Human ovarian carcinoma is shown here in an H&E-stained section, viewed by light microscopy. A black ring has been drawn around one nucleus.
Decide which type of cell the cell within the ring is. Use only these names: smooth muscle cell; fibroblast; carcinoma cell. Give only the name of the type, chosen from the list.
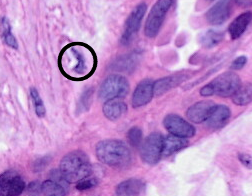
fibroblast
